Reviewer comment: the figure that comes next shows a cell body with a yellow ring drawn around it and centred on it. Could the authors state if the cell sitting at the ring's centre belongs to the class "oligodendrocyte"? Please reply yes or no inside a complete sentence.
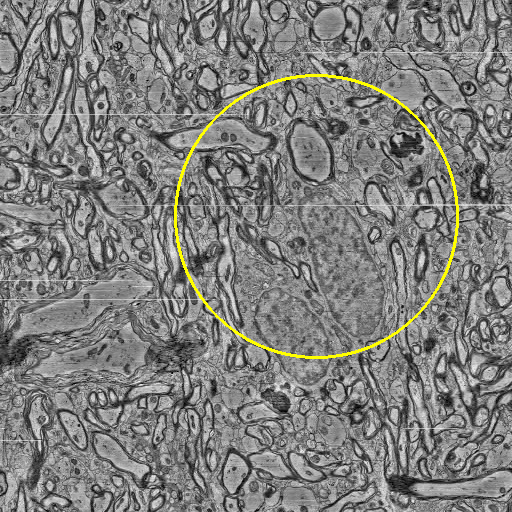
Yes, in the figure, the cell at the ring's centre belongs to that class.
